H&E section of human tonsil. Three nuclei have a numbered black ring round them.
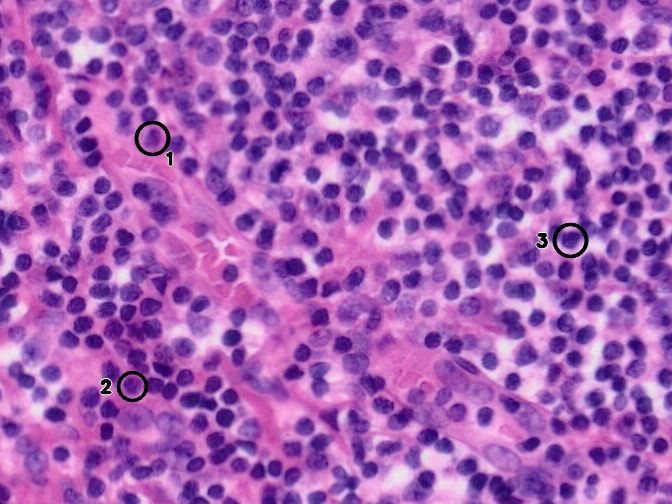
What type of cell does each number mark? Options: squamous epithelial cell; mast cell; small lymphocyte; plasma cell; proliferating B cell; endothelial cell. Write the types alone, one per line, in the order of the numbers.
endothelial cell
endothelial cell
small lymphocyte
